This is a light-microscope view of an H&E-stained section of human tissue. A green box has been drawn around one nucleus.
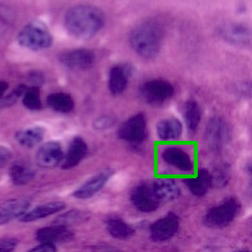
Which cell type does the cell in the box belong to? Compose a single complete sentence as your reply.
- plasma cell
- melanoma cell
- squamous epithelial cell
Recorded by type, the cell in the box is a squamous epithelial cell.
